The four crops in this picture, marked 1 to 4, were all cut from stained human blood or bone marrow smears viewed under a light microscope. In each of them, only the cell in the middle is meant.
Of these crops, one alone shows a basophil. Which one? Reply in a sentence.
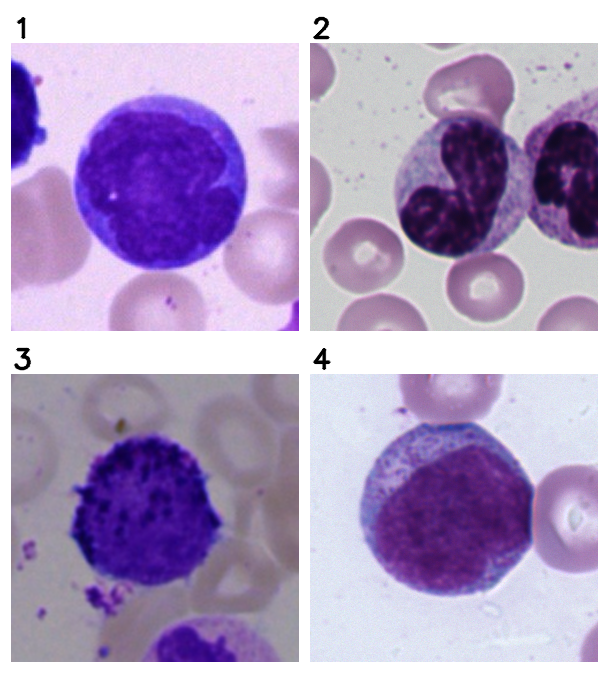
The crop with a basophil in it is crop 3.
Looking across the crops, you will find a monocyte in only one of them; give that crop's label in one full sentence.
It is in crop 1 that a monocyte is shown.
